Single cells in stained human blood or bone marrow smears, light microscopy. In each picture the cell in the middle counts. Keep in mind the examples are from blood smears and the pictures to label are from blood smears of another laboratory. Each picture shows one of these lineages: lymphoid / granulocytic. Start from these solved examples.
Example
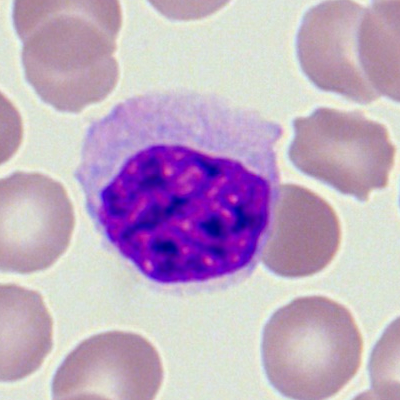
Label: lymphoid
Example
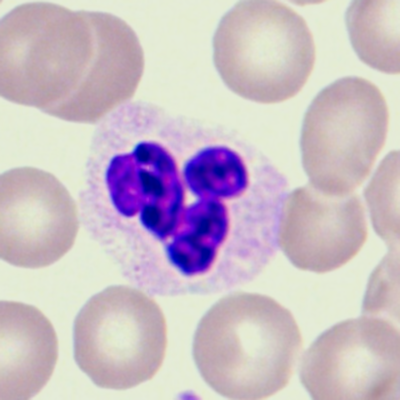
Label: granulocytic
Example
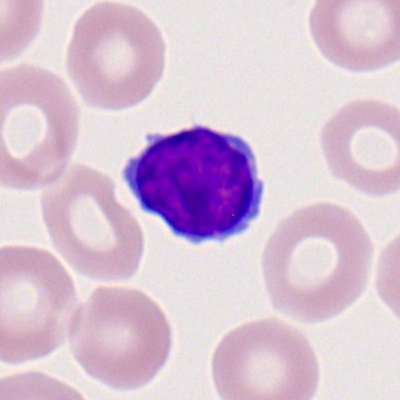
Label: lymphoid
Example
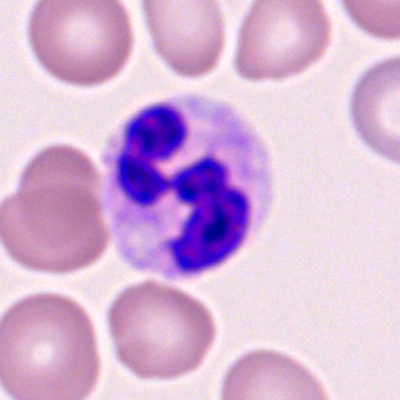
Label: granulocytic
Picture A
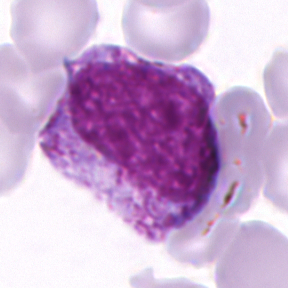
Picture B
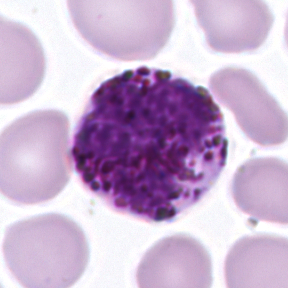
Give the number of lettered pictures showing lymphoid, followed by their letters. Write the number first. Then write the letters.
0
